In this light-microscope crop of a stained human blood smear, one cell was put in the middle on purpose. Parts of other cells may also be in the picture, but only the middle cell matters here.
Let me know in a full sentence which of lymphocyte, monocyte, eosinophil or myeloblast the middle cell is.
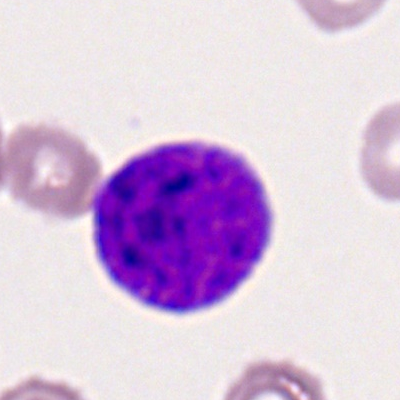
The crop shows a myeloblast in its centre.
